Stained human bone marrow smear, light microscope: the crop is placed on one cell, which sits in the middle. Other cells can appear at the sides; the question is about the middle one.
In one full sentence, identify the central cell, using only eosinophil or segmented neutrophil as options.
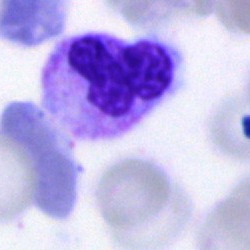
By type, the central cell of the crop is a segmented neutrophil.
